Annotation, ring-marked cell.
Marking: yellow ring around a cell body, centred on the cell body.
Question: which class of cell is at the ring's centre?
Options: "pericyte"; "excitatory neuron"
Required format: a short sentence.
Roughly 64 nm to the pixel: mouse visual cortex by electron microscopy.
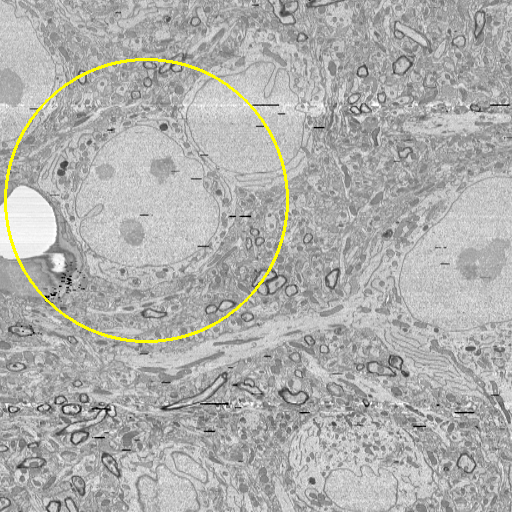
At the ring's centre is an excitatory neuron.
